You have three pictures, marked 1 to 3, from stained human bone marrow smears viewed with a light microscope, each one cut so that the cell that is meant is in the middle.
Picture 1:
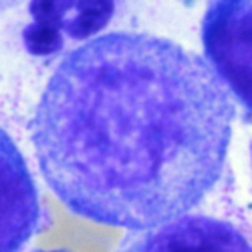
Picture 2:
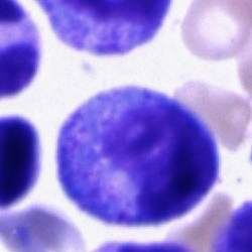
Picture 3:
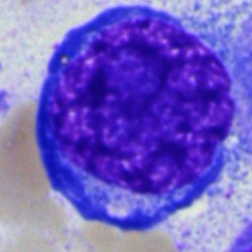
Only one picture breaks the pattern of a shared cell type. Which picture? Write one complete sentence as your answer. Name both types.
Unlike the rest, which show promyelocytes, picture 3 shows a proerythroblast.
